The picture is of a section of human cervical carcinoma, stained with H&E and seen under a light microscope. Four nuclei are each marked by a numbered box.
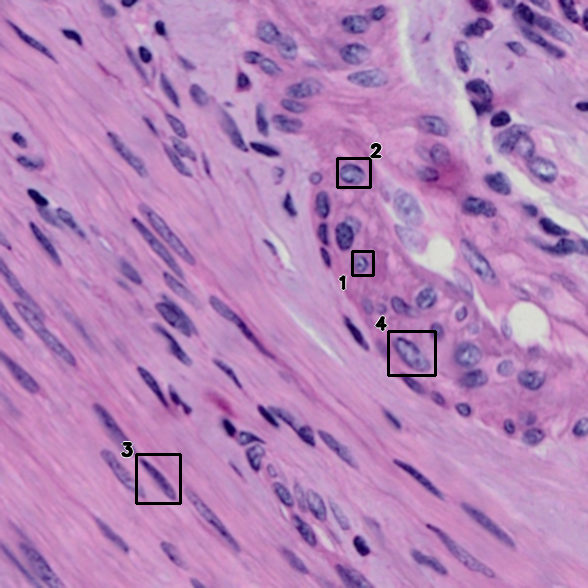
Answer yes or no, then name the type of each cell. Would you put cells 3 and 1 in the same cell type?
No: cell 3 is a fibroblast, while cell 1 is a smooth muscle cell.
